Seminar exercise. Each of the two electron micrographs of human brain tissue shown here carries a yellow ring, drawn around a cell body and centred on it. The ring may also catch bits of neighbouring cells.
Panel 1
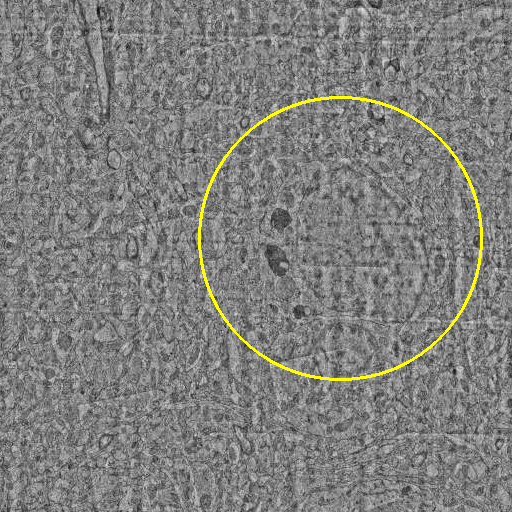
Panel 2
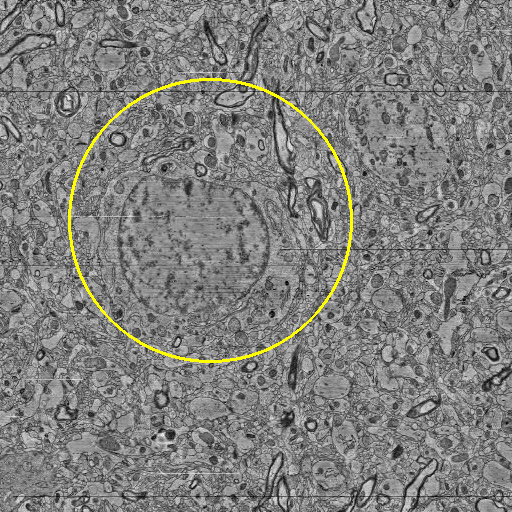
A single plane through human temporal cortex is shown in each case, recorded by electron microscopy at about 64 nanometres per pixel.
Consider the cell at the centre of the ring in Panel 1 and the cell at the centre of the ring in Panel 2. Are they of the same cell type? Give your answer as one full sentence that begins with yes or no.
Yes, both cells are of the same type.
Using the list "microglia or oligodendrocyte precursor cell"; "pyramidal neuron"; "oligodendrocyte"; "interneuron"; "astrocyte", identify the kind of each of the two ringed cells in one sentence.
The first and the second cell are each an interneuron.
